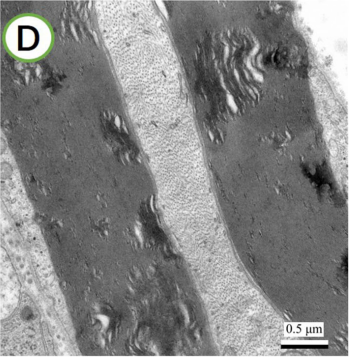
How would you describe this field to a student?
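Higher magnification of a myelinated nerve fibre cut lengthwise, with a pale axon running down the middle between two thick bands of electron-dense compact myelin. The axoplasm is finely granular to filamentous. The myelin bands are broad and uniformly dark, interrupted here and there by pale irregular clefts. A thin rim of lighter cytoplasm borders the outer edge of the sheath.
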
